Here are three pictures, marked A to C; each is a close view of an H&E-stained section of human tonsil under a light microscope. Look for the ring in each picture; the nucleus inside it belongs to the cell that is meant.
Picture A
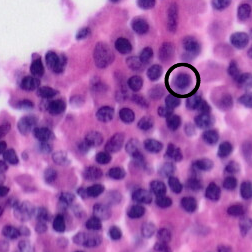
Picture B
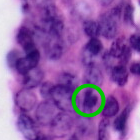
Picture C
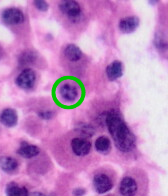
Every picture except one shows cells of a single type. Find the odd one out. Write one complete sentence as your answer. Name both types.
The different one is picture B; it shows a proliferating B cell, whereas all the others show plasma cells.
